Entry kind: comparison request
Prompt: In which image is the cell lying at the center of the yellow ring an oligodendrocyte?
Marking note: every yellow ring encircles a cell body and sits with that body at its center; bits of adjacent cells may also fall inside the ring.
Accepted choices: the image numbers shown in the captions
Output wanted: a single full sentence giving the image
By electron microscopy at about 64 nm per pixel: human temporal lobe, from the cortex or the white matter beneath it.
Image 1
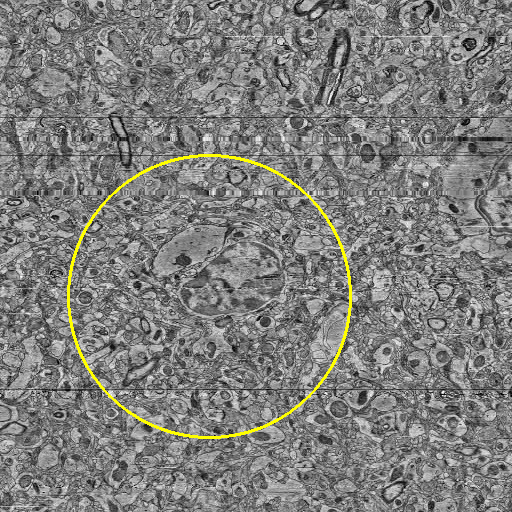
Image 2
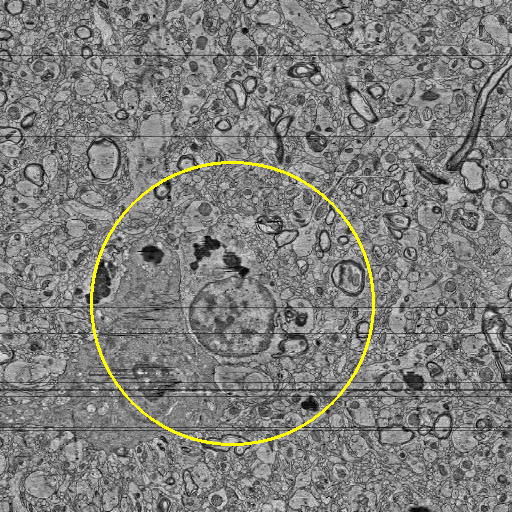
In image 2, the ringed cell at the center matches the prompt.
